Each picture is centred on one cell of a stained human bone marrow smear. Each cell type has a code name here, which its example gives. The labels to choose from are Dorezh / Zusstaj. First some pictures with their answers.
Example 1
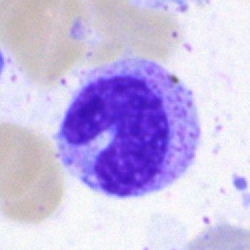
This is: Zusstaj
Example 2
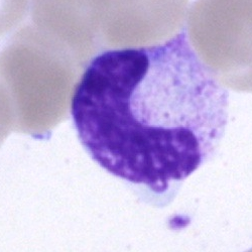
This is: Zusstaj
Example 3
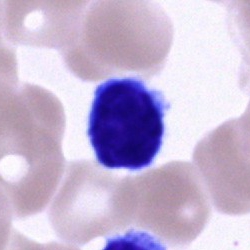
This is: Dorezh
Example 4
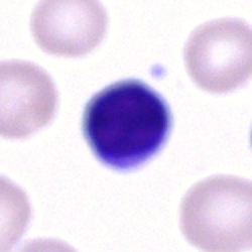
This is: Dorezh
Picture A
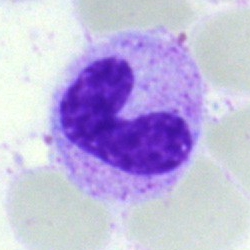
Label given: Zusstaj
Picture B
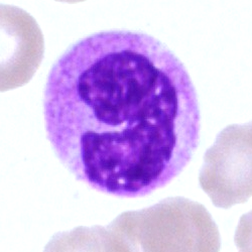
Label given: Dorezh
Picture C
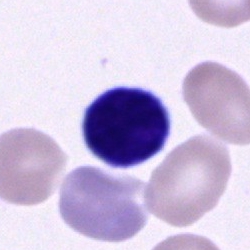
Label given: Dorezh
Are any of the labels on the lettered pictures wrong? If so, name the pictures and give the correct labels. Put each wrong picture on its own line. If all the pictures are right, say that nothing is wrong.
B: not Dorezh but Zusstaj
